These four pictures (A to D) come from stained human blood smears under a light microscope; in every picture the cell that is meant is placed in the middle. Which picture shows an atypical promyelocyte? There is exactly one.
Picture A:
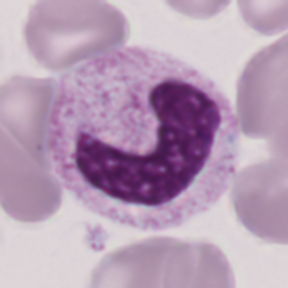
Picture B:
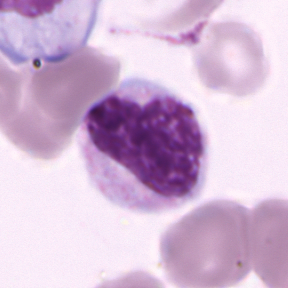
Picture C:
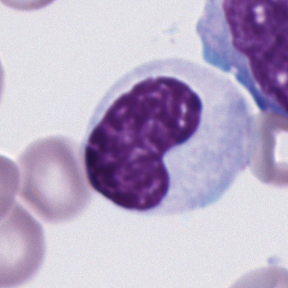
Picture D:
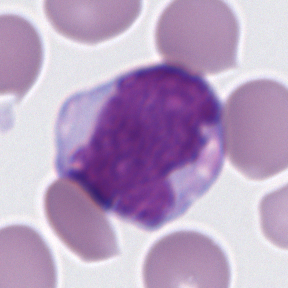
D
